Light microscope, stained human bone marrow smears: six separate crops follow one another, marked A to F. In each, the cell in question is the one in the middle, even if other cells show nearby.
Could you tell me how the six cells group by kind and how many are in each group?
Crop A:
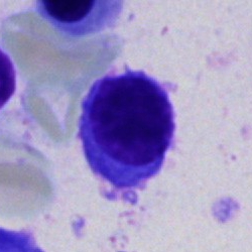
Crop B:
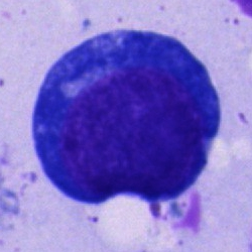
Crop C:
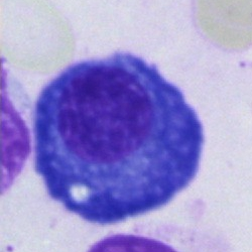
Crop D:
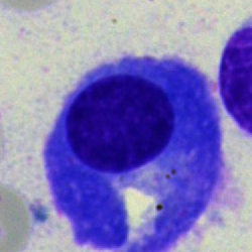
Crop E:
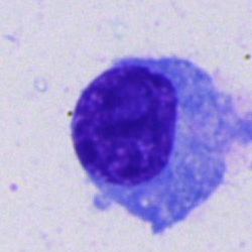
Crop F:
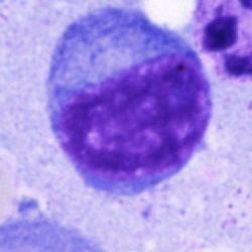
plasma cell: 5
proerythroblast: 1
